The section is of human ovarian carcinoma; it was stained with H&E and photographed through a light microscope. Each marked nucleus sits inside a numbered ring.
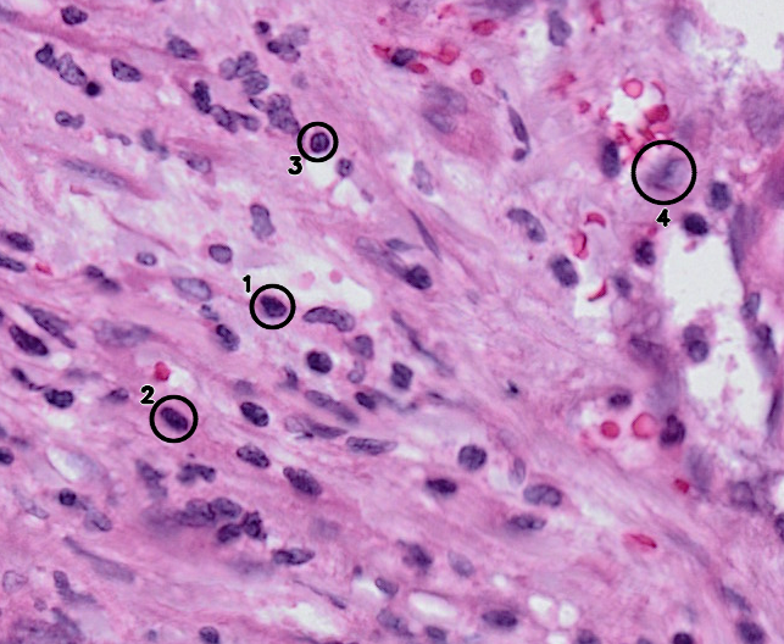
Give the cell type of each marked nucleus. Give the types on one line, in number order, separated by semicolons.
lymphocyte; lymphocyte; lymphocyte; endothelial cell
